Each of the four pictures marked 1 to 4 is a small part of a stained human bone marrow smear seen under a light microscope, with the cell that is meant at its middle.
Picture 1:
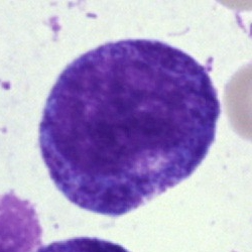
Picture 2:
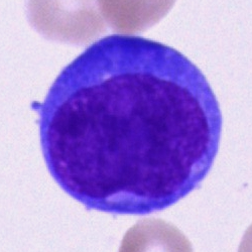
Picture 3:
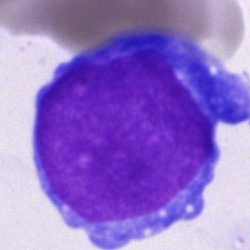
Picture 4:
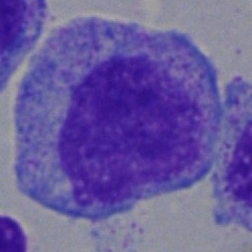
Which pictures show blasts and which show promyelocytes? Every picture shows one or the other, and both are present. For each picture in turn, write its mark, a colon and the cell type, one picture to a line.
1: promyelocyte
2: blast
3: blast
4: promyelocyte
